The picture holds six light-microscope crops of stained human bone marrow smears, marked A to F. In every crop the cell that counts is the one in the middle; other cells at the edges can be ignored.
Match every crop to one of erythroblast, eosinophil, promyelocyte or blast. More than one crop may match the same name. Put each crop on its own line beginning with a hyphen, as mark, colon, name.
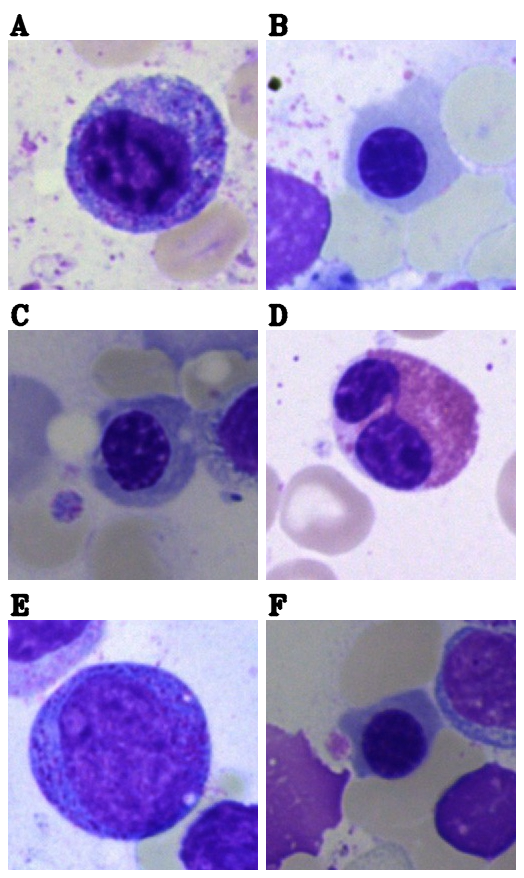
- A: promyelocyte
- B: erythroblast
- C: erythroblast
- D: eosinophil
- E: promyelocyte
- F: erythroblast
